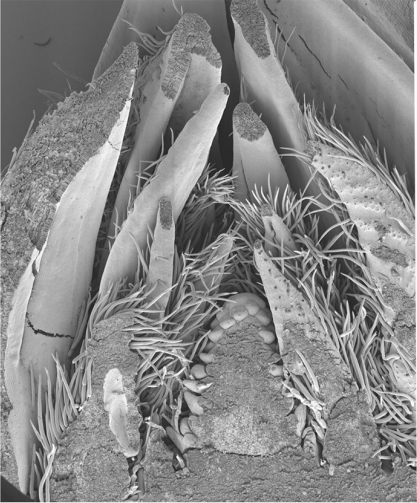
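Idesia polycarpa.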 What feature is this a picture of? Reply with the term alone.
bud scales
